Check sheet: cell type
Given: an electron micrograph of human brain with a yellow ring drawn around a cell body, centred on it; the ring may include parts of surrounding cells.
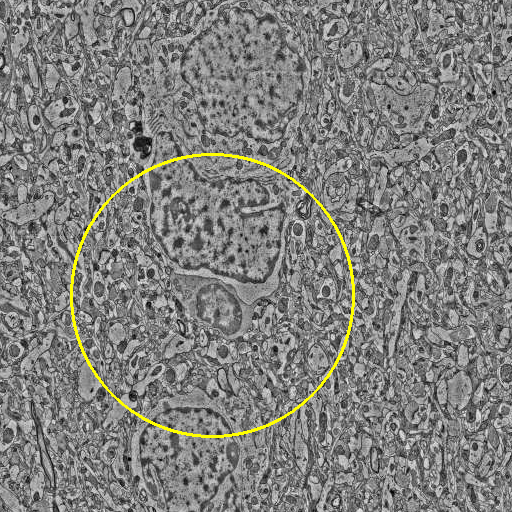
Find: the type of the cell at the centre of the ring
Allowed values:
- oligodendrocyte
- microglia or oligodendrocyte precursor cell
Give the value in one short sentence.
Here the ringed cell is an oligodendrocyte.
